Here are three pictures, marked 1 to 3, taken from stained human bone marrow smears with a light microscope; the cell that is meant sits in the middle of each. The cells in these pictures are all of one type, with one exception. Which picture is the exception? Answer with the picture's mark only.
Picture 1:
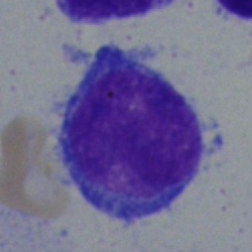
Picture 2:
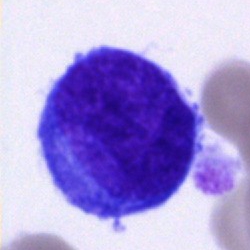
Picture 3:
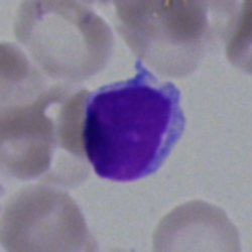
3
